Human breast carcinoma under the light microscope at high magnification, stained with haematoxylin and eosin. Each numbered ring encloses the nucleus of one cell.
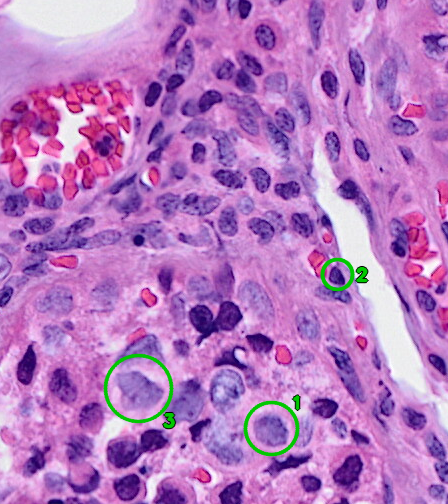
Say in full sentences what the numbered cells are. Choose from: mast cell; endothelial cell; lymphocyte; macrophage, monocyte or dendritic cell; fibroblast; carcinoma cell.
Cell 1 is a carcinoma cell, cell 2 is an endothelial cell and cell 3 is a carcinoma cell.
